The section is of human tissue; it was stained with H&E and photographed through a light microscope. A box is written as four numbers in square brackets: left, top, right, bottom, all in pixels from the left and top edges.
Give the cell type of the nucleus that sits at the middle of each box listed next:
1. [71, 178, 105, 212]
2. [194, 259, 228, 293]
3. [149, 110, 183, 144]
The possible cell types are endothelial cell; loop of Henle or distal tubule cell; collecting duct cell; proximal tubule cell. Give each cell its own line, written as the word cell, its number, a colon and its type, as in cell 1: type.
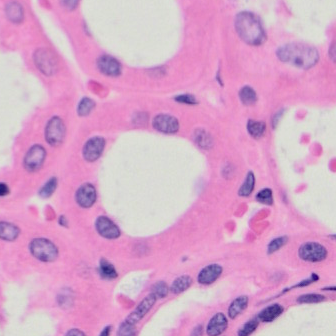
cell 1: loop of Henle or distal tubule cell
cell 2: collecting duct cell
cell 3: loop of Henle or distal tubule cell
